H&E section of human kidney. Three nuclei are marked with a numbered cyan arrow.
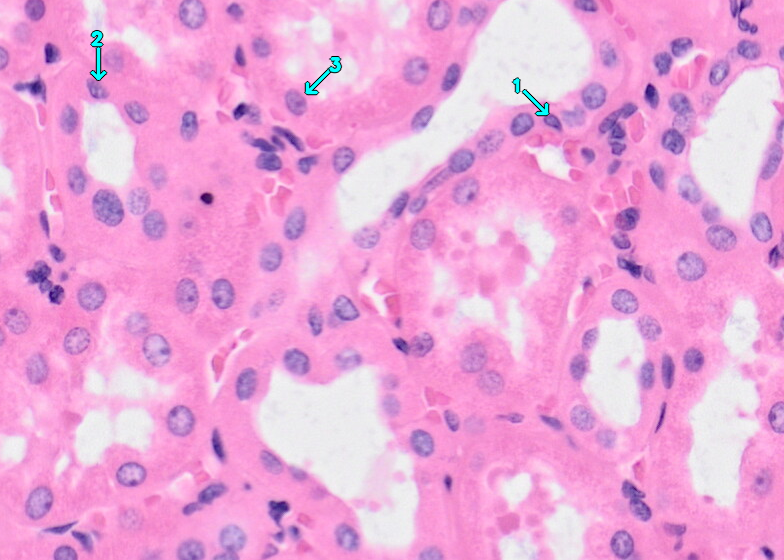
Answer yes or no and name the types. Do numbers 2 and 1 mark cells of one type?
No, cell 2 is a loop of Henle or distal tubule cell, and in contrast cell 1 is a collecting duct cell.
